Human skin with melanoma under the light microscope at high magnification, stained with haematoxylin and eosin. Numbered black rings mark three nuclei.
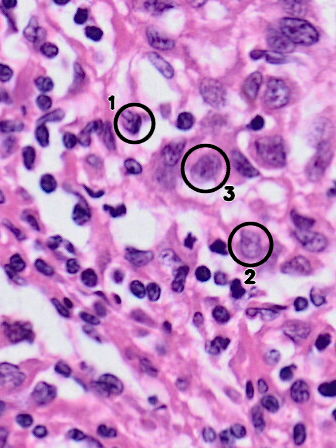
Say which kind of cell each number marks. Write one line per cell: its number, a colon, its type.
1: macrophage or monocyte
2: melanoma cell
3: melanoma cell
